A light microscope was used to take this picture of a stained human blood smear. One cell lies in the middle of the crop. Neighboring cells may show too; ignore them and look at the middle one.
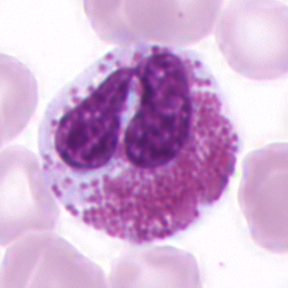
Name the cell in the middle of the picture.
eosinophil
